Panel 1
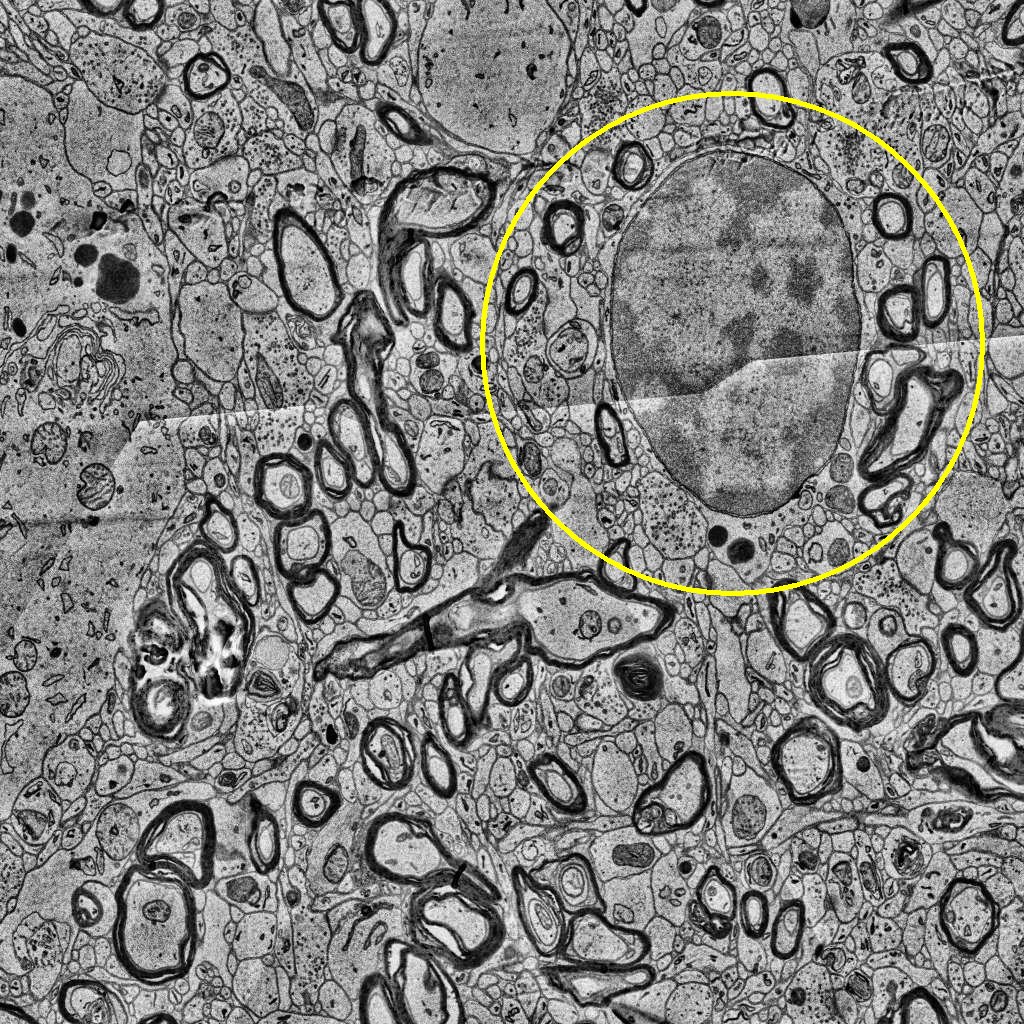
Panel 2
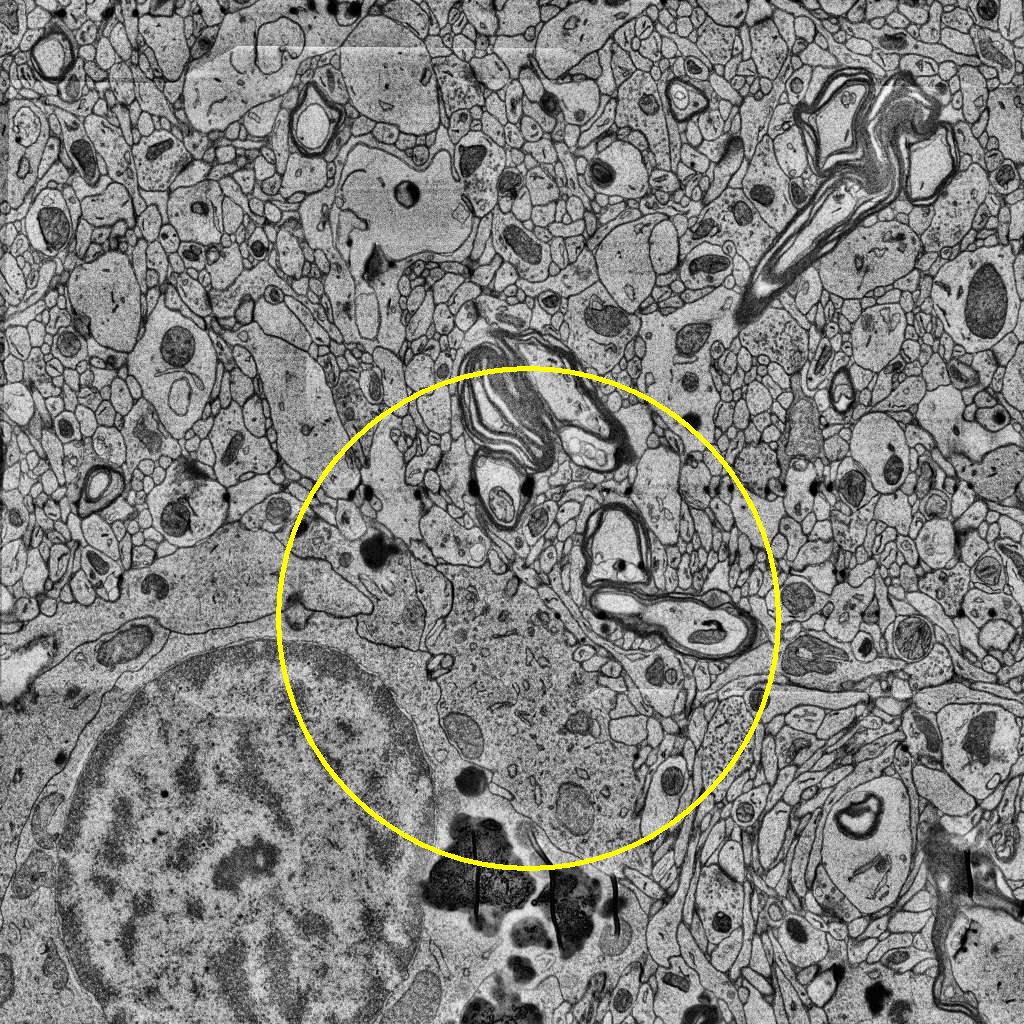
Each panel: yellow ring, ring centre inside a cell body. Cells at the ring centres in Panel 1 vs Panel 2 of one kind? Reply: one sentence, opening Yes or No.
No, Panel 1 and Panel 2 have cells of two kinds at the ring centres.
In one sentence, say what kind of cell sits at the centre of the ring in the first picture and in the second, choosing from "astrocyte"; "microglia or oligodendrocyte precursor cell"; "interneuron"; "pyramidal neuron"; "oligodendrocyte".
Of the two, the first cell is a microglial cell or oligodendrocyte precursor cell and the second cell is an oligodendrocyte.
